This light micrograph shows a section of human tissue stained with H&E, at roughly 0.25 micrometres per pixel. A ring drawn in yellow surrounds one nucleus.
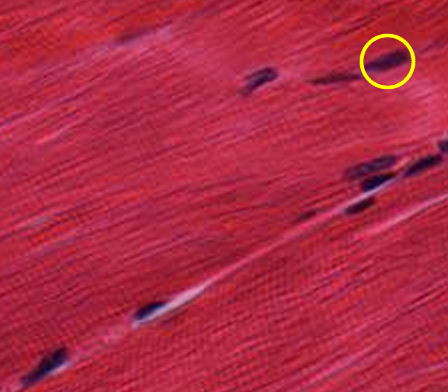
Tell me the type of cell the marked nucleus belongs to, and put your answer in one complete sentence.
Within a skeletal muscle fibre lies the marked nucleus.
